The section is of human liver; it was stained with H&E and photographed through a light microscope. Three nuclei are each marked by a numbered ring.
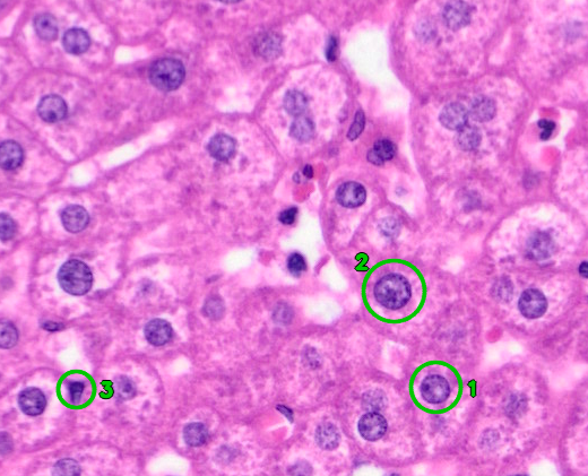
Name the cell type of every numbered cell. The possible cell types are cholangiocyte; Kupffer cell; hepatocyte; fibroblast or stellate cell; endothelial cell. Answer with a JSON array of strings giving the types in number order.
["hepatocyte", "hepatocyte", "fibroblast or stellate cell"]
